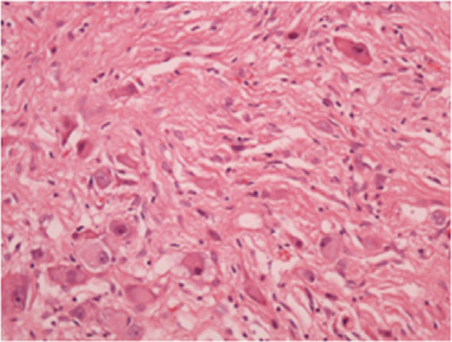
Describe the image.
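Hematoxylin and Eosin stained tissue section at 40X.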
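This section shows desmoplastic stroma in which atypical neuronal cells lie scattered. The background is made of pink, wavy collagen fibres arranged in streaming, loosely swirling bundles with many slender spindle-shaped nuclei. Between these fibres sit large polygonal to rounded cells with abundant glassy pink cytoplasm. Their nuclei are round and pale, often placed off-centre, with distinct prominent nucleoli. The large cells occur singly or in small loose groups, some surrounded by small clear spaces in the stroma.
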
